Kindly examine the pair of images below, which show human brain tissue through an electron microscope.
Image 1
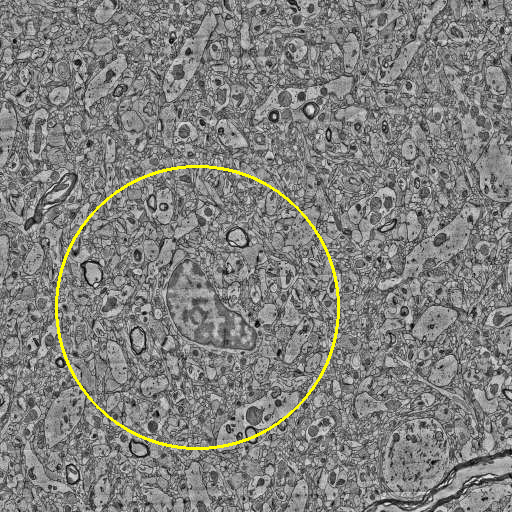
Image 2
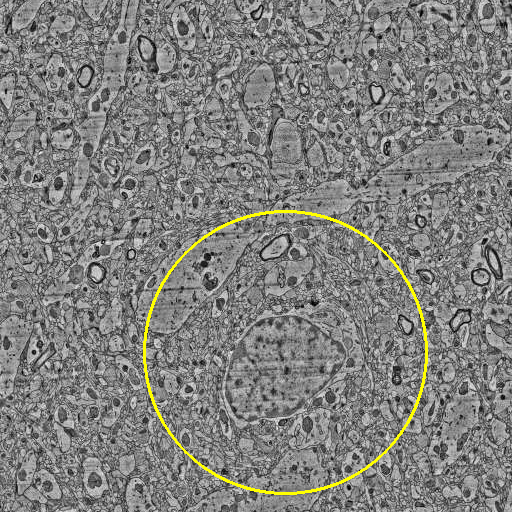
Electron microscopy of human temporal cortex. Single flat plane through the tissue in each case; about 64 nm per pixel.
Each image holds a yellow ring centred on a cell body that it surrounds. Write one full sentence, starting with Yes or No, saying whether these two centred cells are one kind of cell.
Yes, both cells at the centres of the yellow rings belong to one kind of cell.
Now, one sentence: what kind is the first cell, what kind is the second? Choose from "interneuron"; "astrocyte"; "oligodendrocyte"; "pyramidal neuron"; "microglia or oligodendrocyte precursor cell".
The second cell is a microglial cell or oligodendrocyte precursor cell, just as the first is.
